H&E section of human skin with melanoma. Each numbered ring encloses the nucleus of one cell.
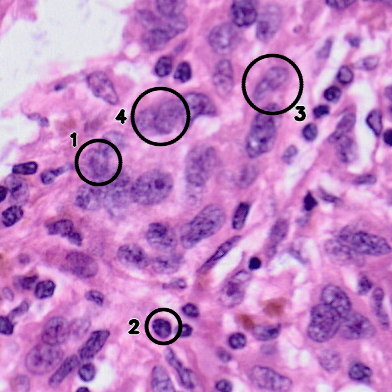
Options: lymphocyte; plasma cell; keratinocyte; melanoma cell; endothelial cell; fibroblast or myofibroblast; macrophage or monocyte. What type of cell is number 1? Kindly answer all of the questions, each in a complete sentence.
Within this field of view, the cell labelled 1 is a melanoma cell.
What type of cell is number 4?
Identified as a melanoma cell is the cell bearing the number 4.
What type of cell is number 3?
The cell identified by number 3 is a melanoma cell.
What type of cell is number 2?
The correct label for cell 2 is a lymphocyte.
